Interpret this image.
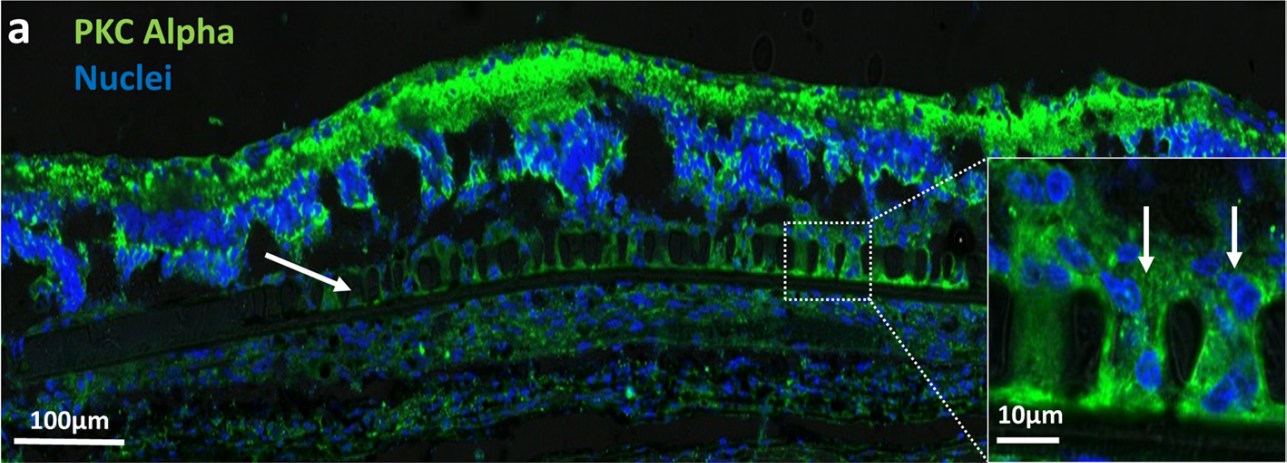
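This is a section of retina with an implanted device lying beneath it. The device is seen as a thin dark band running across the section, topped by a regular row of rounded wells. In the enlarged view, cells with round blue nuclei and green cytoplasm sit just above the wells, and green material reaches down between and into them.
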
